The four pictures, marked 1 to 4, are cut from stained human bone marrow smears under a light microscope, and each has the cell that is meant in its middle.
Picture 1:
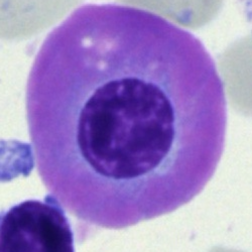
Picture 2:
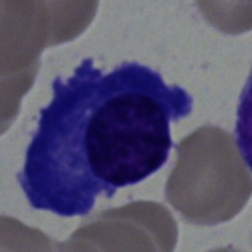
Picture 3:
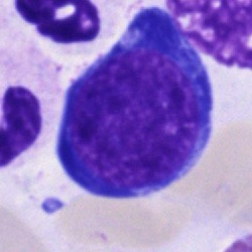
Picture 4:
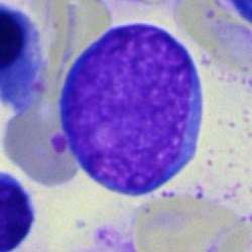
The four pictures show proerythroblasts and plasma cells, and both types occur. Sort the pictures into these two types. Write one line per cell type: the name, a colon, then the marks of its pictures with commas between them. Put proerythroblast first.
proerythroblast: 3, 4
plasma cell: 1, 2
